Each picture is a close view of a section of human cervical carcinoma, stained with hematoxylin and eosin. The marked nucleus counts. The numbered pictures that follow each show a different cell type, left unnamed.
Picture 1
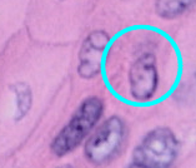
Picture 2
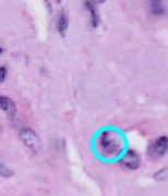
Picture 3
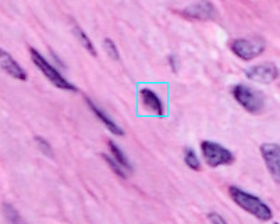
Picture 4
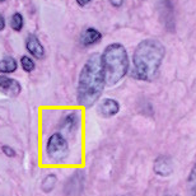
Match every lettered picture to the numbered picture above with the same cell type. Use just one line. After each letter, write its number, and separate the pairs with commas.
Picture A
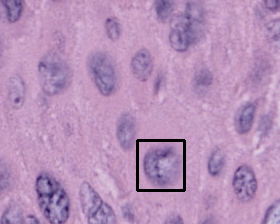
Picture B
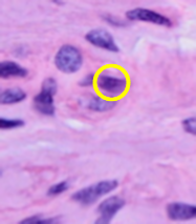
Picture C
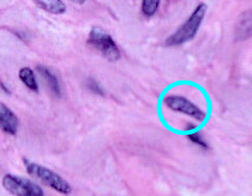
A 1, B 2, C 3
